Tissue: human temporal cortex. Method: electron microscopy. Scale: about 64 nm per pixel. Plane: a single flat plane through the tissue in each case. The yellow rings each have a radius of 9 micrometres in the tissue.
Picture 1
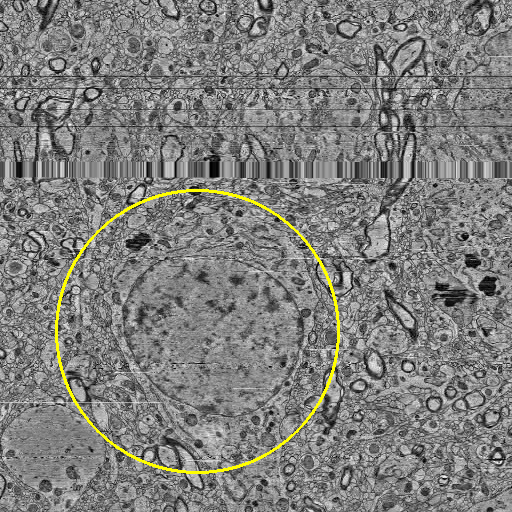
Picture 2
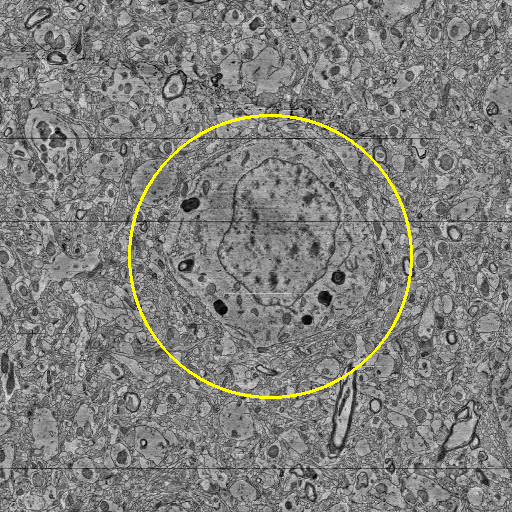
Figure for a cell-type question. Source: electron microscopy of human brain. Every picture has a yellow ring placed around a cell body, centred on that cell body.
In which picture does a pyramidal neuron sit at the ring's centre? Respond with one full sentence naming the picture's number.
The cell in the middle of the ring in picture 2 is the one sought.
